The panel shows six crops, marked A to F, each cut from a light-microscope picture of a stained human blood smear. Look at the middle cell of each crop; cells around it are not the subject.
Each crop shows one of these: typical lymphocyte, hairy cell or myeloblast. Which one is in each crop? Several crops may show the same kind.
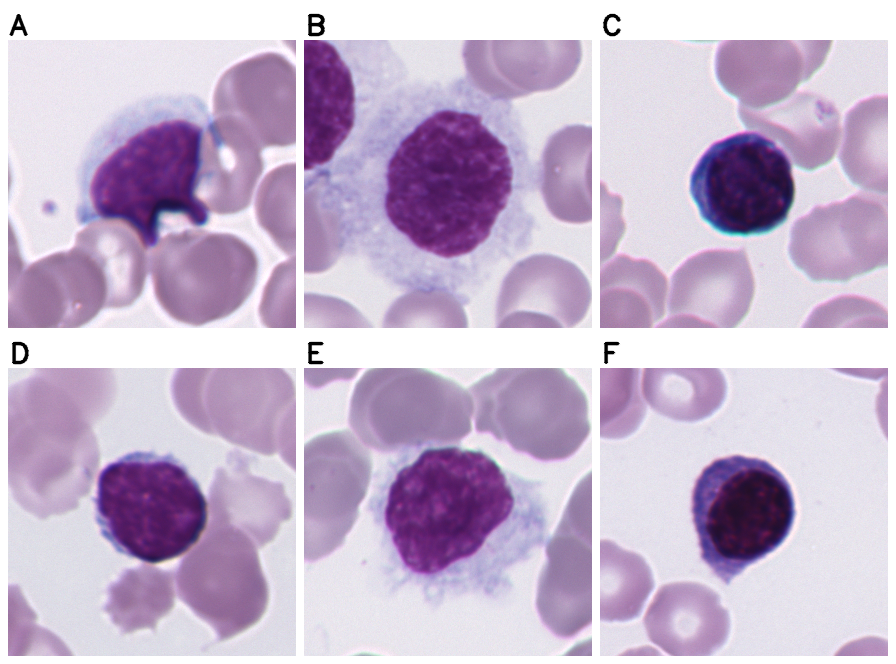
A: typical lymphocyte
B: hairy cell
C: typical lymphocyte
D: typical lymphocyte
E: hairy cell
F: typical lymphocyte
